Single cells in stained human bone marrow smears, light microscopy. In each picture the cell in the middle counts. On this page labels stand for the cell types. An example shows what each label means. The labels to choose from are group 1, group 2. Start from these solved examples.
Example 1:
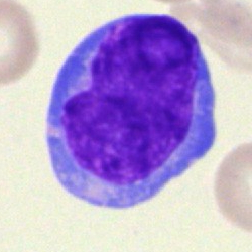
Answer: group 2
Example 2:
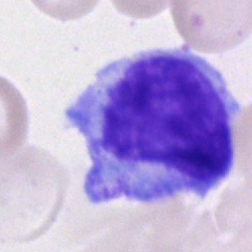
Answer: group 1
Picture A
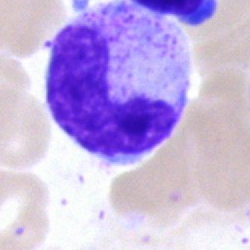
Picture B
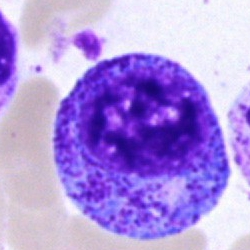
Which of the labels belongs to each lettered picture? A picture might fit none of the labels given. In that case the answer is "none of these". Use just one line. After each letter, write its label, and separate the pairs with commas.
A none of these, B group 1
